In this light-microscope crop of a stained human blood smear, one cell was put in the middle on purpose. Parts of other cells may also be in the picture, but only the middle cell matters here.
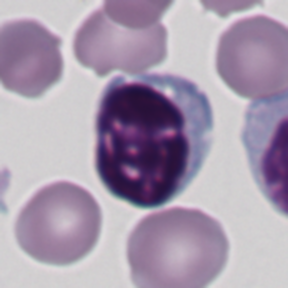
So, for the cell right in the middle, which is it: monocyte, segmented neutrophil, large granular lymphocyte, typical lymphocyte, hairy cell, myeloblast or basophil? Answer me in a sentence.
Standing at the centre of this crop is a typical lymphocyte.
